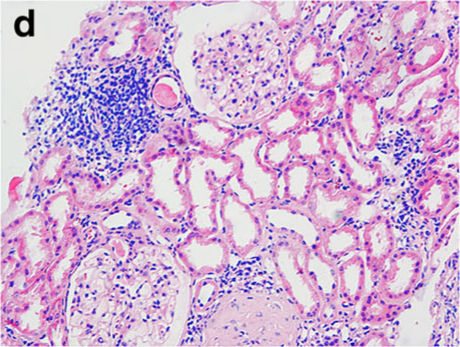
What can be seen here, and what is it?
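Kidney cortex with tubules, glomeruli and a dense interstitial aggregate of lymphocytes. The lymphocytes are small round cells with dark purple nuclei and very little cytoplasm, packed in a compact cluster beside a glomerulus and between tubules lined by pink cuboidal epithelium. Fewer such cells are scattered in the interstitium elsewhere.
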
